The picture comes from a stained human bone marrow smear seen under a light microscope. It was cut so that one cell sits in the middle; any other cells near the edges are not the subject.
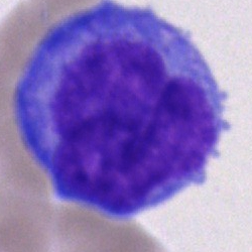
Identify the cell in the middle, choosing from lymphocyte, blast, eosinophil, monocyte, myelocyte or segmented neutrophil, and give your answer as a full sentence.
The central cell, amid any neighbouring cells, is a blast.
